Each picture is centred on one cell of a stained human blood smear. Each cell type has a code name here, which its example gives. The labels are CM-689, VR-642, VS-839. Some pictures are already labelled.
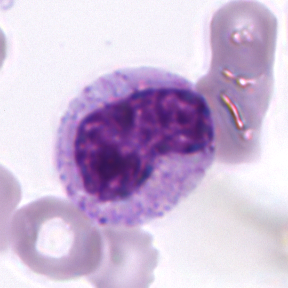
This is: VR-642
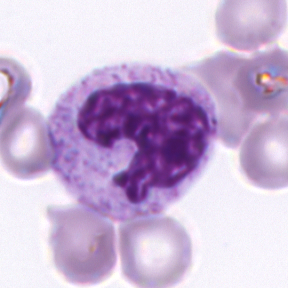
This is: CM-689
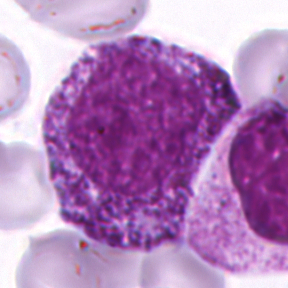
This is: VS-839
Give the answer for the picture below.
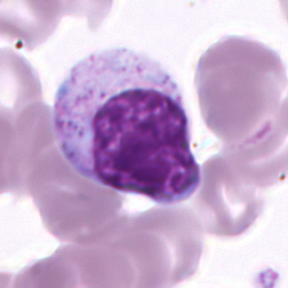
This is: VR-642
